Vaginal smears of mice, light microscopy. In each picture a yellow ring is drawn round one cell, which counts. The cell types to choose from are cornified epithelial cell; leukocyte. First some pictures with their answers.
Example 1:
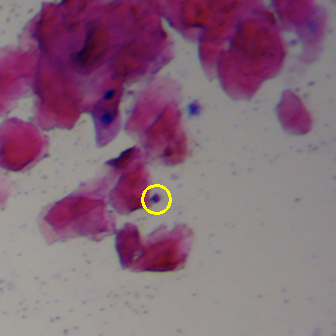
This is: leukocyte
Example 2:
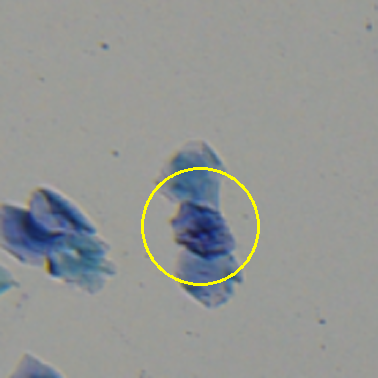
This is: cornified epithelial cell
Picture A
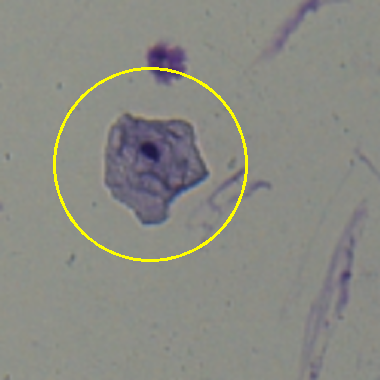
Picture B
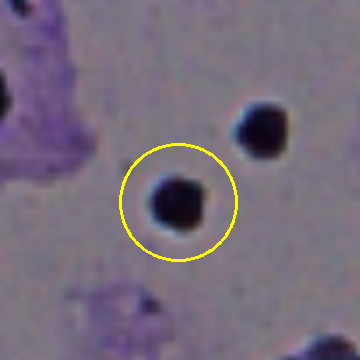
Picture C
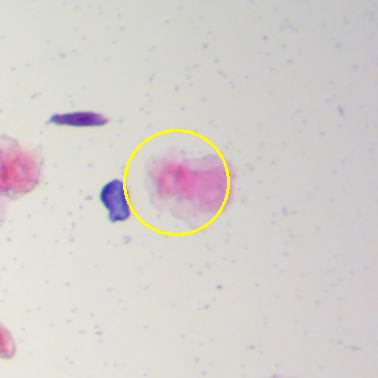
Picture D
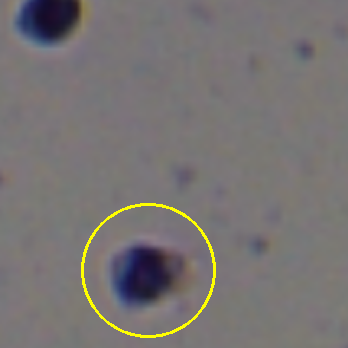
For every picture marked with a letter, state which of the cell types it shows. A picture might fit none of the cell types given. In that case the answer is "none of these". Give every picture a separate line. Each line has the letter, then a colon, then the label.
A: none of these
B: leukocyte
C: cornified epithelial cell
D: leukocyte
